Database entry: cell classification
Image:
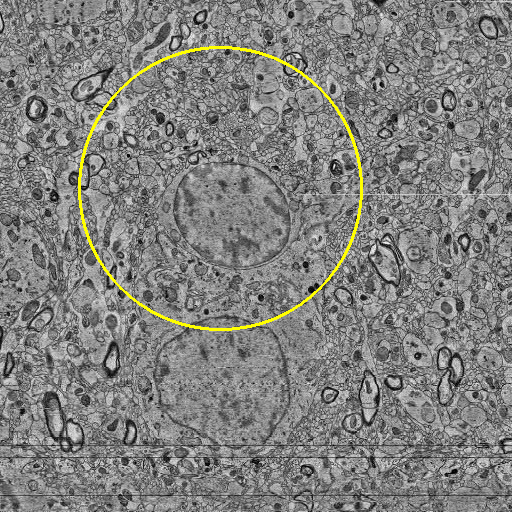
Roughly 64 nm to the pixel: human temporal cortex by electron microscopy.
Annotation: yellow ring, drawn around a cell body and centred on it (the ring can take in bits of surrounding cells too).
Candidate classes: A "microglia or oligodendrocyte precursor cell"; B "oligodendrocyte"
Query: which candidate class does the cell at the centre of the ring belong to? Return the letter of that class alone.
B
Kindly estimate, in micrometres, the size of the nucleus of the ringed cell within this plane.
The ringed cell's nucleus measures approximately 8 by 7 micrometres in this plane.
